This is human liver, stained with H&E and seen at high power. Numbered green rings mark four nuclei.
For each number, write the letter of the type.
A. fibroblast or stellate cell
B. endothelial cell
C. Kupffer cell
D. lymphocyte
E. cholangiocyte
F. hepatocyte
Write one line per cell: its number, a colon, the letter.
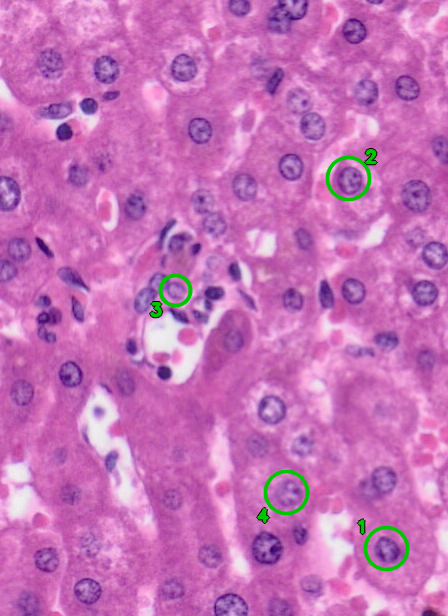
1: F
2: F
3: E
4: F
